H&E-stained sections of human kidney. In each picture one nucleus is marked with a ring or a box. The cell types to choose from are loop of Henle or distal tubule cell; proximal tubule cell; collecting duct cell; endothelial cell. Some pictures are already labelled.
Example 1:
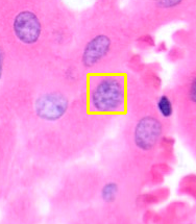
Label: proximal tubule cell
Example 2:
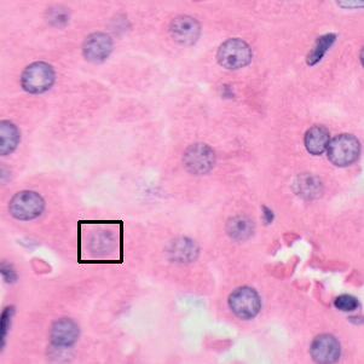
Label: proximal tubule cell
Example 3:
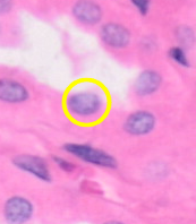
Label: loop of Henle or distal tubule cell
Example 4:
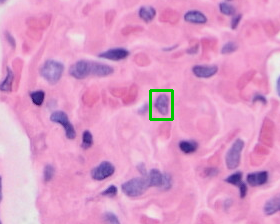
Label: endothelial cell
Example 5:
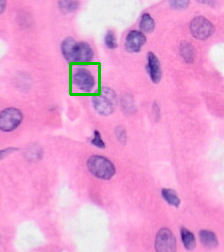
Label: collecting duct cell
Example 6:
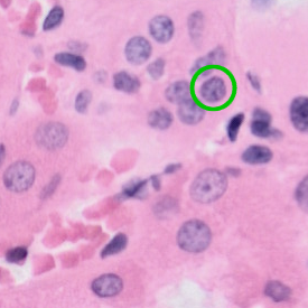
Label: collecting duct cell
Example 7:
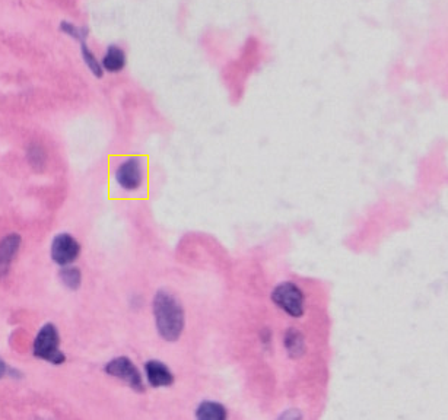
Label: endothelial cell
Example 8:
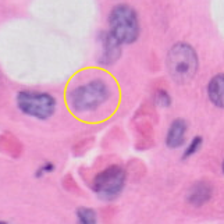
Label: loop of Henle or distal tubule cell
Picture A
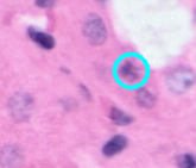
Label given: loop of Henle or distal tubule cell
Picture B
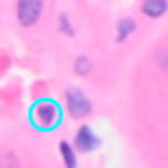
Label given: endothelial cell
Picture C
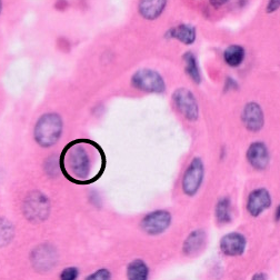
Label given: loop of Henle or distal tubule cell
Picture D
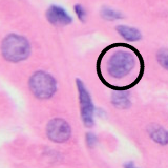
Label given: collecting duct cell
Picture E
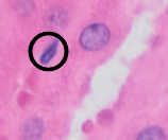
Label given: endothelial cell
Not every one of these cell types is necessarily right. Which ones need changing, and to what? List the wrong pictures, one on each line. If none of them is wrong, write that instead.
Nothing to fix; every label fits.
